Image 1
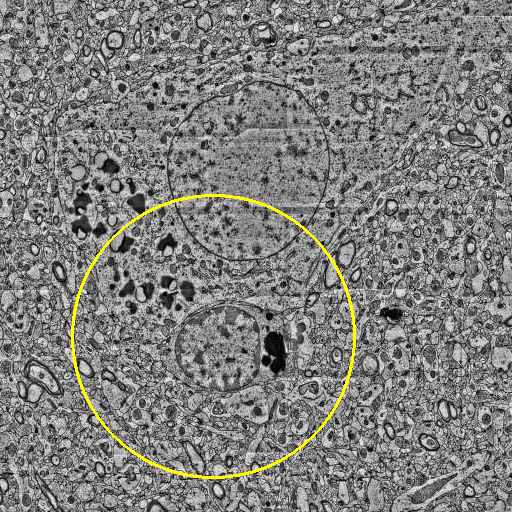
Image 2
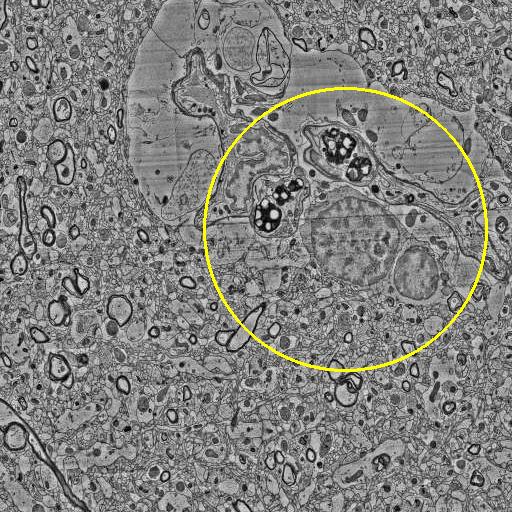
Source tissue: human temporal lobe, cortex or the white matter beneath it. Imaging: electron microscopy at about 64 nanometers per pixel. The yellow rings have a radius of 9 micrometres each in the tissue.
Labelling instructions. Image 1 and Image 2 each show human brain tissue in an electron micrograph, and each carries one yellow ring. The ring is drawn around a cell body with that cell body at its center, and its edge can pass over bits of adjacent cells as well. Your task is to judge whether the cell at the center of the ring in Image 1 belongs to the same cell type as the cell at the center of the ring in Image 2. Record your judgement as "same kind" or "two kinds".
same kind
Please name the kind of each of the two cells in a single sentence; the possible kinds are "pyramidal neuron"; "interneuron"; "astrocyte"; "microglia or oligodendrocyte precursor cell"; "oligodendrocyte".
The ring centre holds an oligodendrocyte in each of the two pictures.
